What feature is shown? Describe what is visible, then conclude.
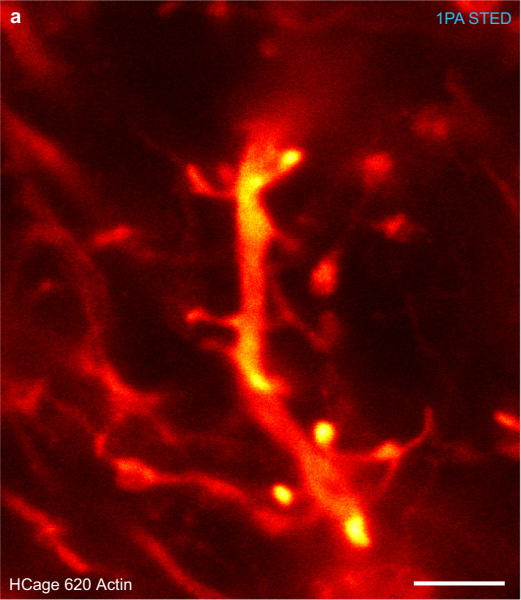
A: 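A thick central branch runs vertically with side branches. Small round bright knobs sit on short stalks along it. On this evidence: dendrites.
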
